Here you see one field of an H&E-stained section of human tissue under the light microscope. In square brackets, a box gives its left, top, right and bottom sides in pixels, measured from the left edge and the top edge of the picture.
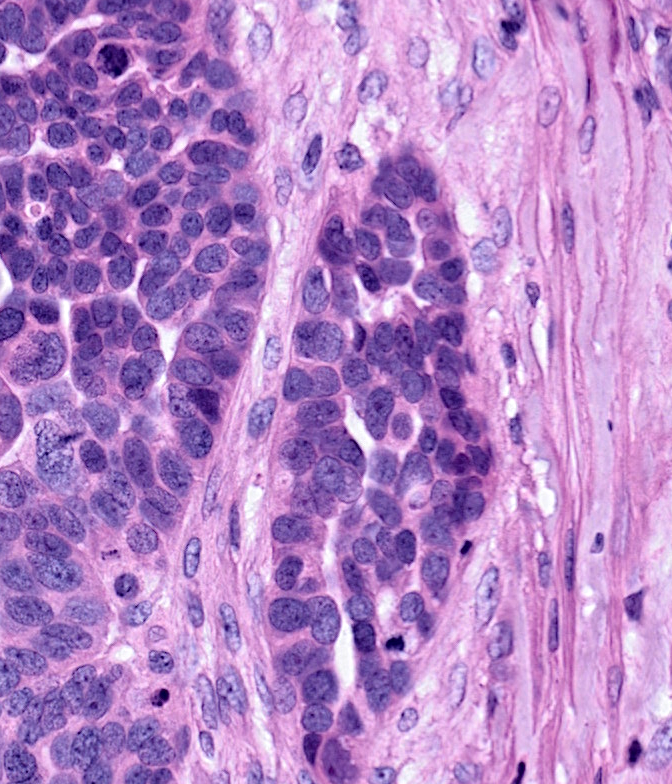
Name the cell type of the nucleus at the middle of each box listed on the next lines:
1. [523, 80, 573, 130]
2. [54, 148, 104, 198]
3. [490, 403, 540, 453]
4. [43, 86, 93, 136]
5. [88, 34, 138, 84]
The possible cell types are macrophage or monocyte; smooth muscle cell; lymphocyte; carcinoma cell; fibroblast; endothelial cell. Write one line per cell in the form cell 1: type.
cell 1: fibroblast
cell 2: carcinoma cell
cell 3: fibroblast
cell 4: carcinoma cell
cell 5: carcinoma cell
